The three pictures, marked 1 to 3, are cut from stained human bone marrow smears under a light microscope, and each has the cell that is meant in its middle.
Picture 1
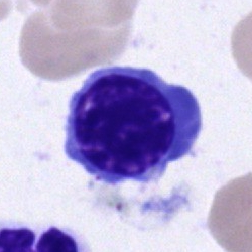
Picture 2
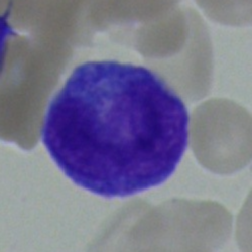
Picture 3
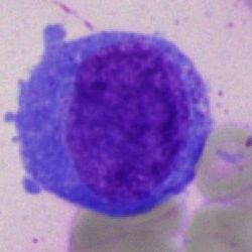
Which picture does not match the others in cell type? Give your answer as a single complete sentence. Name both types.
Picture 1 is the odd one out: it shows an erythroblast, while the others show blasts.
